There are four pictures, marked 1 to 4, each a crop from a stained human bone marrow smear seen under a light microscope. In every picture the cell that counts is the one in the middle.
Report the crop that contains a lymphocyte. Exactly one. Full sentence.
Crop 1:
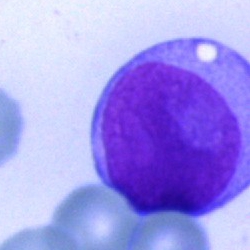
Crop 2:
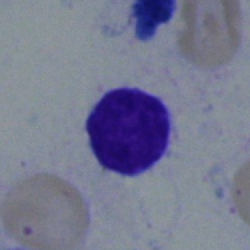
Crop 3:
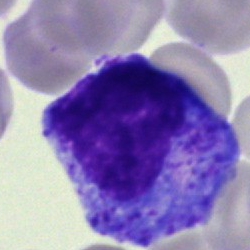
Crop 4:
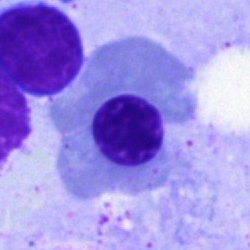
Of all the crops, crop 2 is the one showing a lymphocyte.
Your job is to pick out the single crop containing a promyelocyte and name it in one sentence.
In this set, crop 3 is the one showing a promyelocyte.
